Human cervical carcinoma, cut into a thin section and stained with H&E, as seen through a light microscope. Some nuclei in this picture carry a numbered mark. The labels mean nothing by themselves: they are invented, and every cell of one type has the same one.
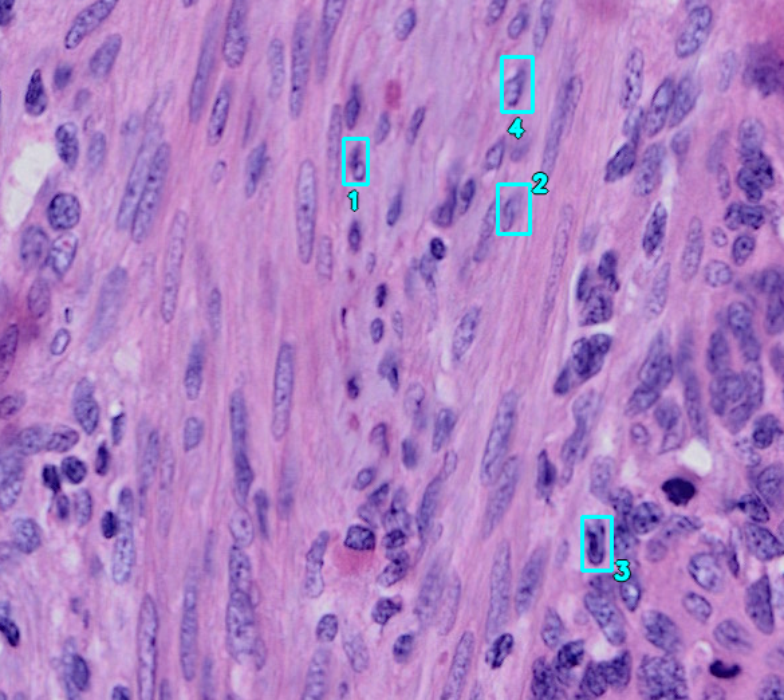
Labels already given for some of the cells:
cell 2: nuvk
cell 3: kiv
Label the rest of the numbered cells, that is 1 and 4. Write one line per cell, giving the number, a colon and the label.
1: nuvk
4: nuvk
